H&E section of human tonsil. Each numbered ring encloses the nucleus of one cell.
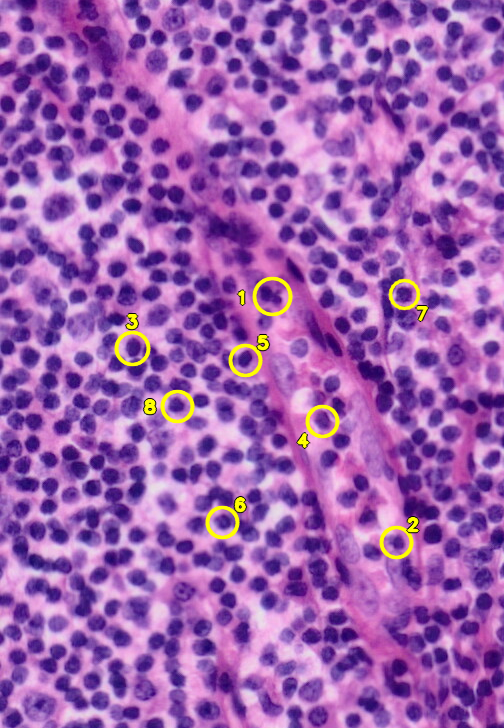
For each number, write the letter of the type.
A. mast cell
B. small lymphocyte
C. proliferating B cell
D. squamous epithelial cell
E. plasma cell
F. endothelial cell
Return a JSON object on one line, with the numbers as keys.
{"1": "F", "2": "F", "3": "B", "4": "F", "5": "B", "6": "B", "7": "B", "8": "B"}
